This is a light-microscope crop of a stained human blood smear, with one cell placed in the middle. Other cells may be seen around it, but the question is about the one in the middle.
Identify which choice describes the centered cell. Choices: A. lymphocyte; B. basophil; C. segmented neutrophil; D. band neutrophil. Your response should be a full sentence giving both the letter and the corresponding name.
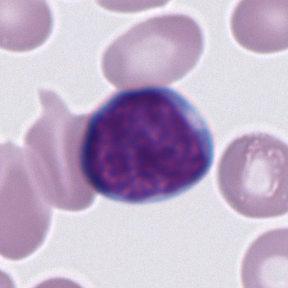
Option A is the correct selection, for the cell at the centre is a lymphocyte.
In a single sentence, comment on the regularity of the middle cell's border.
The membrane contour is even and smooth, with nothing projecting from it.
